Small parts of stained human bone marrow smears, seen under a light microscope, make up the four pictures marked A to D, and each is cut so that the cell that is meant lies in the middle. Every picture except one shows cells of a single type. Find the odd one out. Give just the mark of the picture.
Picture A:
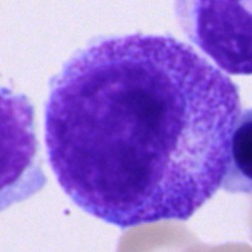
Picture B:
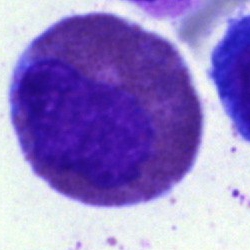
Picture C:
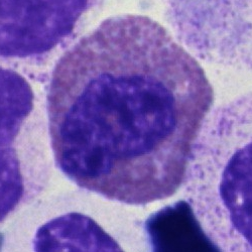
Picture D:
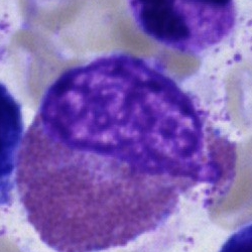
A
